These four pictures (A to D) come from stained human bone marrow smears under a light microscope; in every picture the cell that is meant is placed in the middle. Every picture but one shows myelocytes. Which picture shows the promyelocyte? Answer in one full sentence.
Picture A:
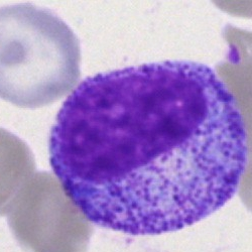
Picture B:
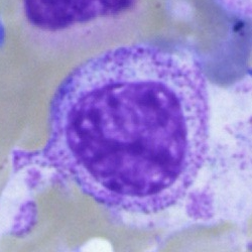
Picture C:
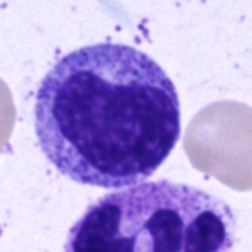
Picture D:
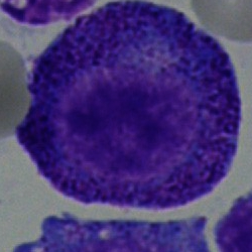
Picture D is the one that shows the promyelocyte.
